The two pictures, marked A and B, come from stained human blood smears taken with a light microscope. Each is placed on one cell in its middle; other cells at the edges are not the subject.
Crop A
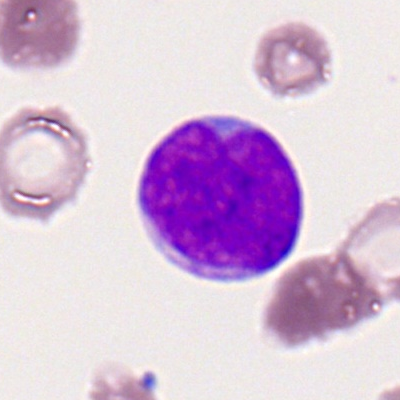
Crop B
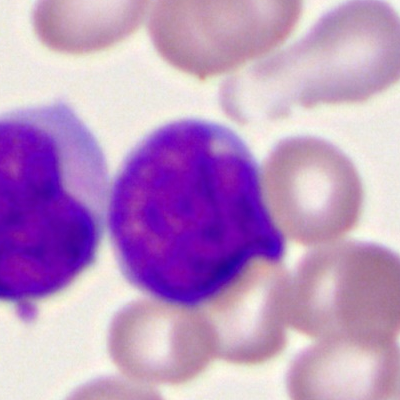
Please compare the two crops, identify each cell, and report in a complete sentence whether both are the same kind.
Yes, both crops have blasts as their central cells.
